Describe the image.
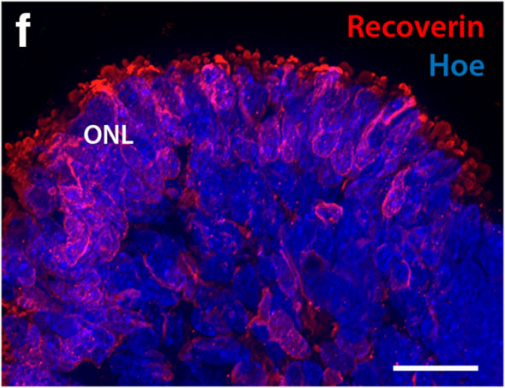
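This is a section of neural retinal tissue with photoreceptors along its curved outer surface. Red staining outlines elongated cell bodies that stand radially beneath the surface, their long axes pointing toward the edge, and a bright red band lines the outer border. Within the red outlines lie oval blue nuclei. Deeper in the tissue the red outlines thin out and the field is filled with crowded blue nuclei, with only a few cells still rimmed faintly in red, giving an outer layer distinct from the tissue beneath.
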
